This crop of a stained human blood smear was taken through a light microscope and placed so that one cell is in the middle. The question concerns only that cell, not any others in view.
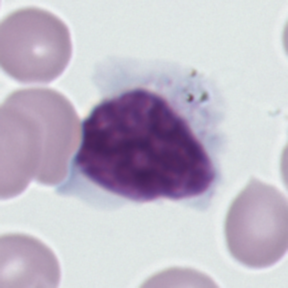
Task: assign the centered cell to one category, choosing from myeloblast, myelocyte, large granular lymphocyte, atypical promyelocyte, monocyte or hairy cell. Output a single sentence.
The cell positioned in the middle of the field is a large granular lymphocyte.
